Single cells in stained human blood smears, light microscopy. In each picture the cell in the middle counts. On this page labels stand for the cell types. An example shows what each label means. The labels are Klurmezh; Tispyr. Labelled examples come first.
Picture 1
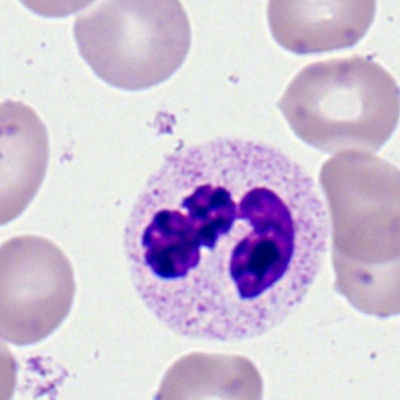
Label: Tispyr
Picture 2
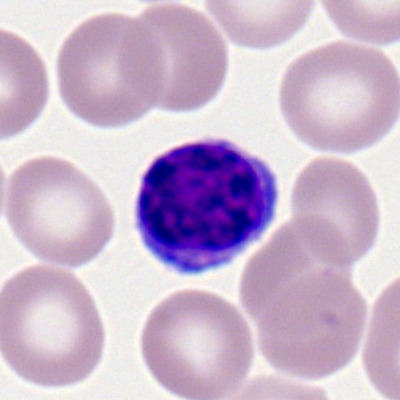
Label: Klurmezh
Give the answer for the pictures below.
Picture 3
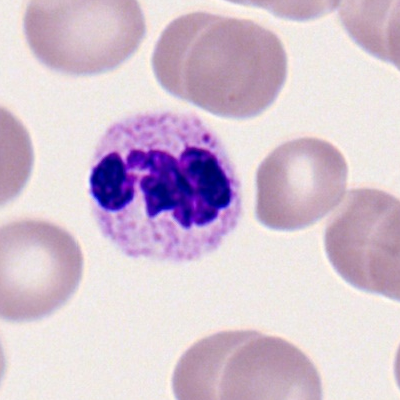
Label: Tispyr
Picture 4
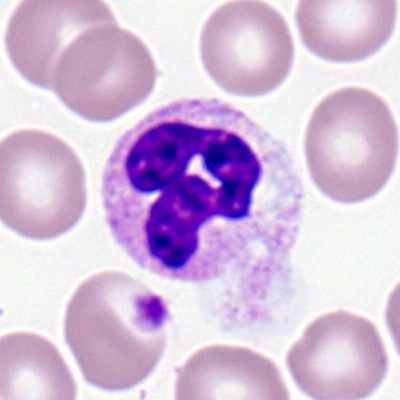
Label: Tispyr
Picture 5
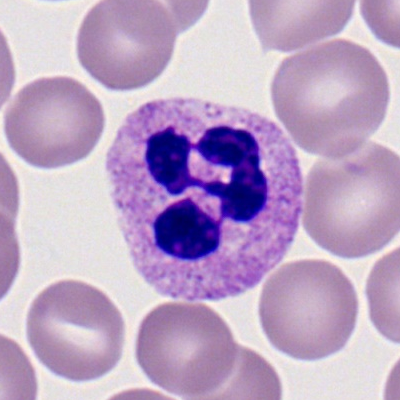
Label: Tispyr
